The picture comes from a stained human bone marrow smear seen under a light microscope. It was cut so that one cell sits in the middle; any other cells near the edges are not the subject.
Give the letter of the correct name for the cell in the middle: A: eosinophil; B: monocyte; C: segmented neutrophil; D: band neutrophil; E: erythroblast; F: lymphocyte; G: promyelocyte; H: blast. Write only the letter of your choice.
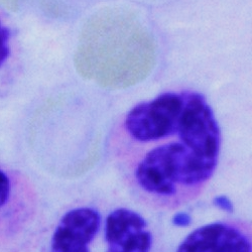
D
